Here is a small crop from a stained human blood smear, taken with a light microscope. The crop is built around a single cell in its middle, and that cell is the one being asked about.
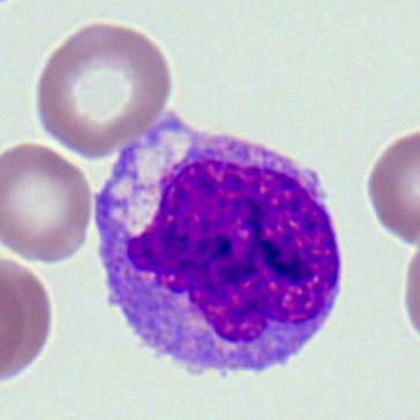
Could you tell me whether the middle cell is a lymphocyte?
no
